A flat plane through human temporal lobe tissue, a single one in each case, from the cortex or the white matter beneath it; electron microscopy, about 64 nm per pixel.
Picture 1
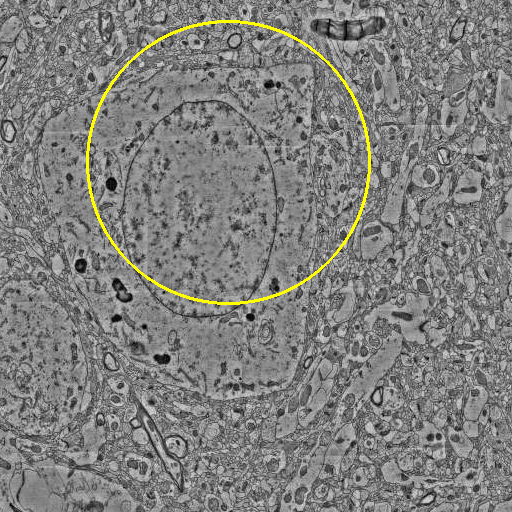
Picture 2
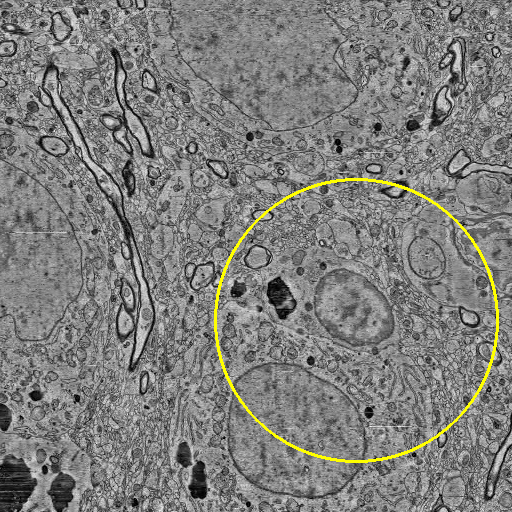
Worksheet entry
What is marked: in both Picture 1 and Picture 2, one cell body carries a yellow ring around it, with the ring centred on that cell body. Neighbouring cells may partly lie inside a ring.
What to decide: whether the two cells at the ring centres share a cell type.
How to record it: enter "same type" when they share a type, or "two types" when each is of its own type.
two types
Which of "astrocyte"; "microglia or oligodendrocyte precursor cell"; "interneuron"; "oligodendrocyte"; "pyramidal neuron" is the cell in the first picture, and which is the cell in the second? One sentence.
The two differ: the first cell is a pyramidal neuron and the second is an oligodendrocyte.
